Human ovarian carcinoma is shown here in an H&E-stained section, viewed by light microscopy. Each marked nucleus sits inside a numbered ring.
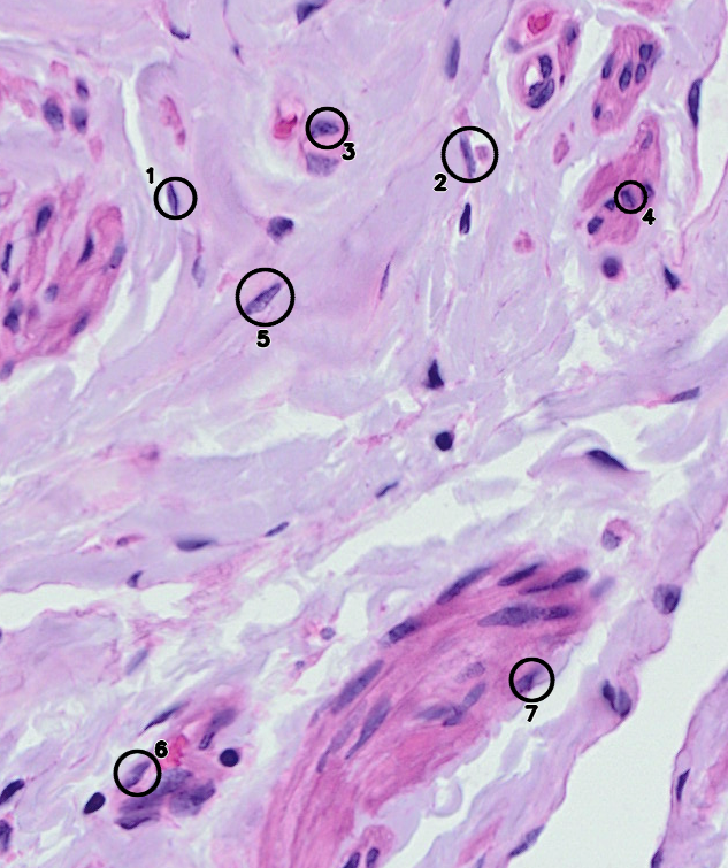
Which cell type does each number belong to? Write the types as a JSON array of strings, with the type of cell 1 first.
["fibroblast", "fibroblast", "endothelial cell", "smooth muscle cell", "fibroblast", "endothelial cell", "smooth muscle cell"]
